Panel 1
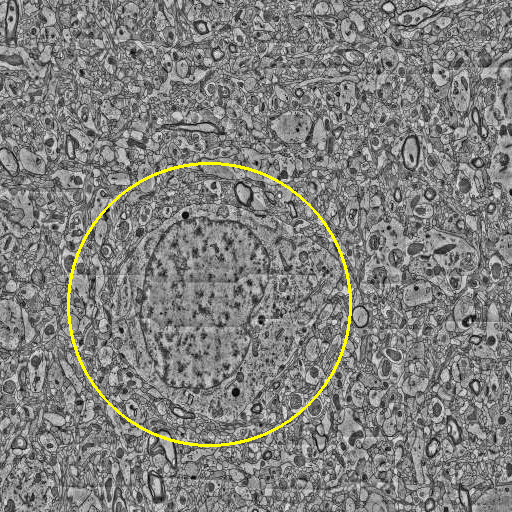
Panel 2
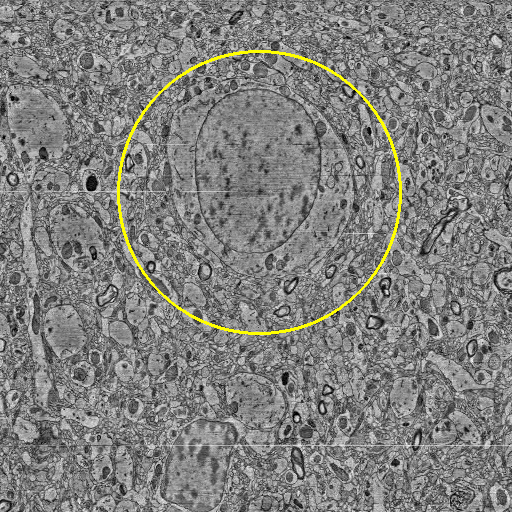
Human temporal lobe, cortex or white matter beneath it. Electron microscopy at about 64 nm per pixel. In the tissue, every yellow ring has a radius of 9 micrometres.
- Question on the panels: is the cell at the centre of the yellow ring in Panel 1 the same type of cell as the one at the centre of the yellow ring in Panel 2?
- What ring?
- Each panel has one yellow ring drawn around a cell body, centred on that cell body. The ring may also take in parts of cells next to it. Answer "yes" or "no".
no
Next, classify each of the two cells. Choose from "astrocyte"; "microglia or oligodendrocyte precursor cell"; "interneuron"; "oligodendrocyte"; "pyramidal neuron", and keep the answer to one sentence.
In the first picture it is an interneuron; in the second it is a pyramidal neuron.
